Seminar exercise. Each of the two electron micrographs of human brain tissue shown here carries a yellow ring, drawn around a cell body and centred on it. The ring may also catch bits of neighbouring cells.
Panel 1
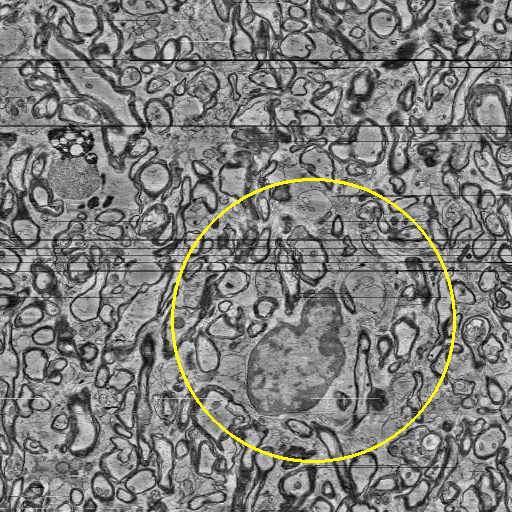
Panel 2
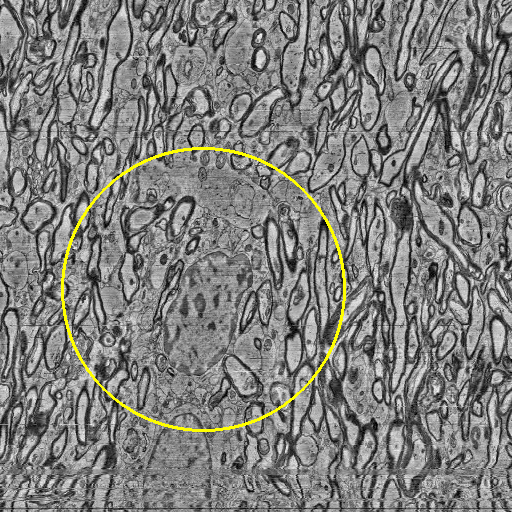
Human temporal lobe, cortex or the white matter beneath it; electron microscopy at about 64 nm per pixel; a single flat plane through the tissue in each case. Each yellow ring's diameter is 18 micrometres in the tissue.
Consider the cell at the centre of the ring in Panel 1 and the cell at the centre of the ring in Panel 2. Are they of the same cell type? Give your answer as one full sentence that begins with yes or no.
Yes, both cells are of the same type.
